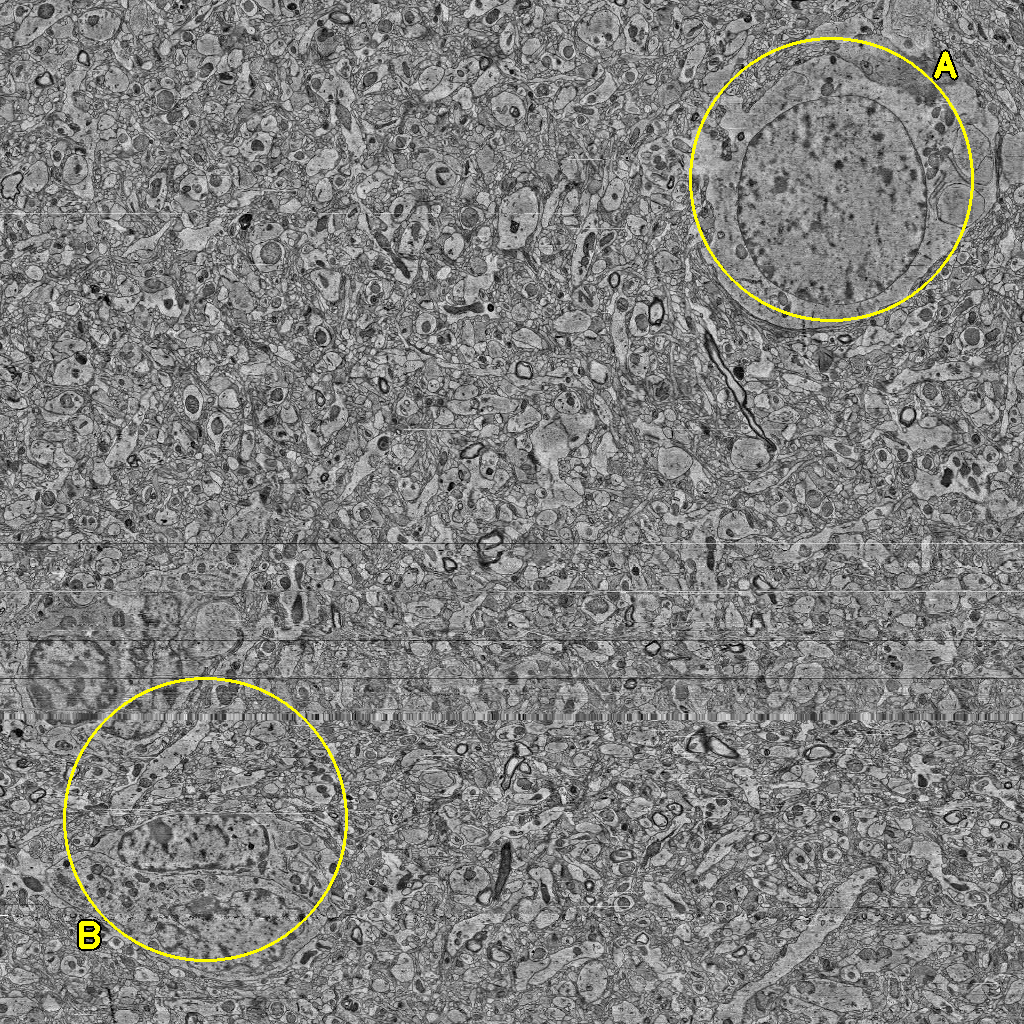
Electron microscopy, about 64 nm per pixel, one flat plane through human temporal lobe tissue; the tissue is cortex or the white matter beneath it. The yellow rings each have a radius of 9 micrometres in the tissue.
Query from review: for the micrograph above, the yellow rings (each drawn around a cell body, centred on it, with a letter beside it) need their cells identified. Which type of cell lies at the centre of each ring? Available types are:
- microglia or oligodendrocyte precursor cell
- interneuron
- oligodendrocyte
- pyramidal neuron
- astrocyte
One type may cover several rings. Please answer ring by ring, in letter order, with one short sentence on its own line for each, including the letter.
Ring A is drawn around an astrocyte.
Ring B is drawn around a microglial cell or oligodendrocyte precursor cell.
